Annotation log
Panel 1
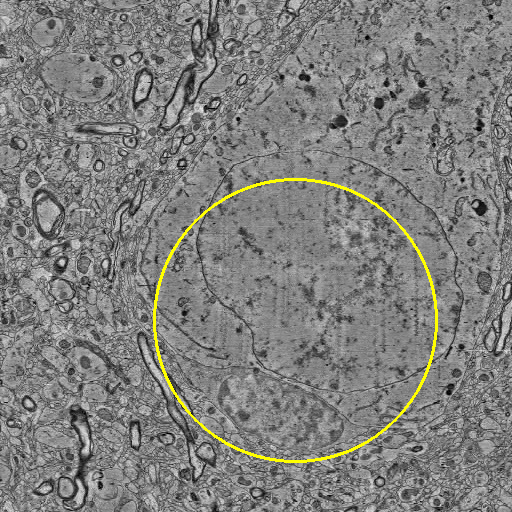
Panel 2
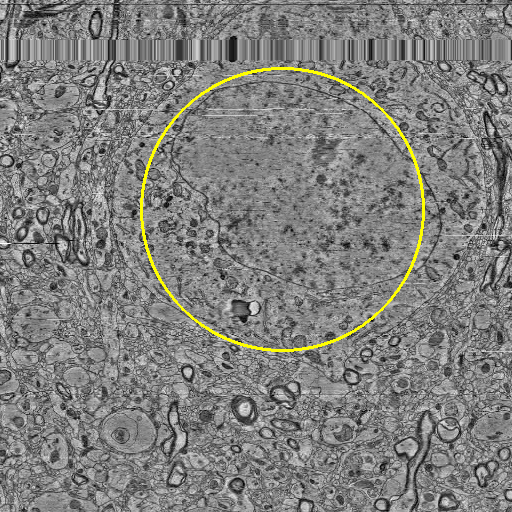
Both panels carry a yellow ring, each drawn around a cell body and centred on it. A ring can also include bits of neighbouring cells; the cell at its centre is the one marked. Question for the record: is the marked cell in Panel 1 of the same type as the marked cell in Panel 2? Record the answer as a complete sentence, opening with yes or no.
Yes, the marked cells in Panel 1 and Panel 2 are of the same type.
